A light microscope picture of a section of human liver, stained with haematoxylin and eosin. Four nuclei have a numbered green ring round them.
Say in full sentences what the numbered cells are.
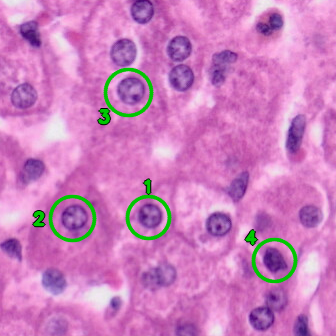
Cell 1 is a hepatocyte, cell 2 is a hepatocyte, cell 3 is a hepatocyte and cell 4 is a Kupffer cell.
